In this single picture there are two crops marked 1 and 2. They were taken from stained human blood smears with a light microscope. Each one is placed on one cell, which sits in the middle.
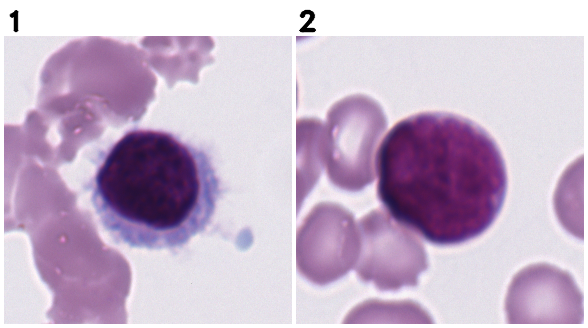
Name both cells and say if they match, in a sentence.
No, crop 1 shows a hairy cell, and the cell in crop 2 is a blast.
